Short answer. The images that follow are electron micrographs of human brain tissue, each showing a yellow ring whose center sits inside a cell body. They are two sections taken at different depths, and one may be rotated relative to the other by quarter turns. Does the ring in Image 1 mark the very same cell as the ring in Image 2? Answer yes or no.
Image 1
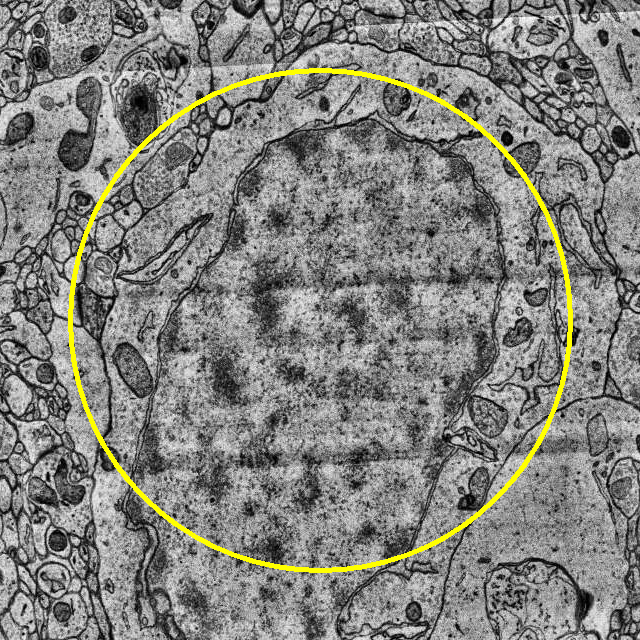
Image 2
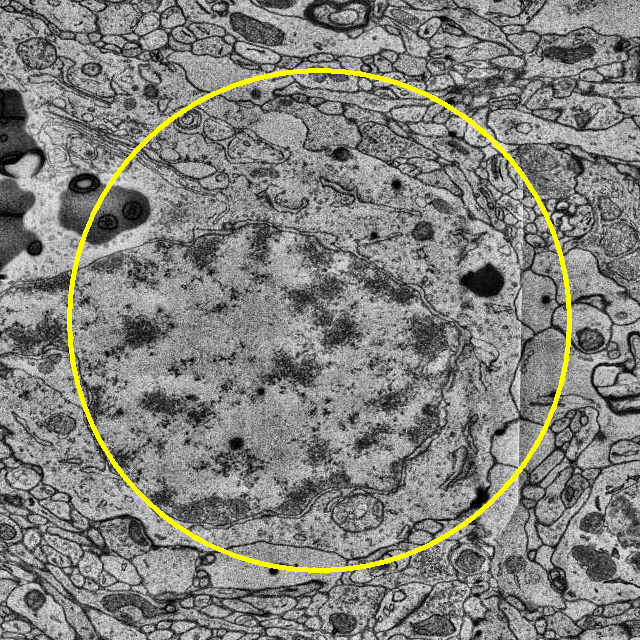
no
